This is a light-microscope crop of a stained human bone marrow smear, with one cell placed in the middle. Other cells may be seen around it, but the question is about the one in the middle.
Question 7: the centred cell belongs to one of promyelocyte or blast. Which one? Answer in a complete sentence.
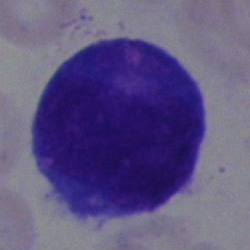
The cell that lies at the centre of the crop is a blast.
